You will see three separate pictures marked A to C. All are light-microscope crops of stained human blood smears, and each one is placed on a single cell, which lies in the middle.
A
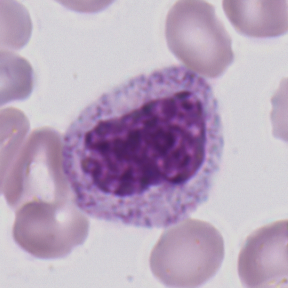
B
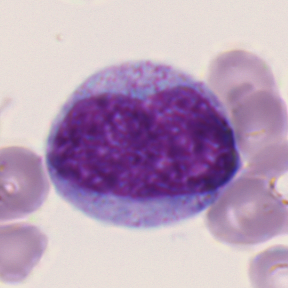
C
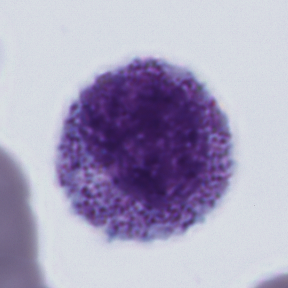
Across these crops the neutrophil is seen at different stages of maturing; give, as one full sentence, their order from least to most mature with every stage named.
Ordered by maturity, from least to most, the crops are crop B (a promyelocyte), crop C (a myelocyte) and crop A (a metamyelocyte).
